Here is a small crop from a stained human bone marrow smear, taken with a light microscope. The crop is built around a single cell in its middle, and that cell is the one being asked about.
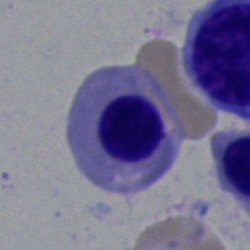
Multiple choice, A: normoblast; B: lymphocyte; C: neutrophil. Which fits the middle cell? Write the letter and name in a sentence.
Option A gives the correct identity of the central cell, namely a normoblast.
